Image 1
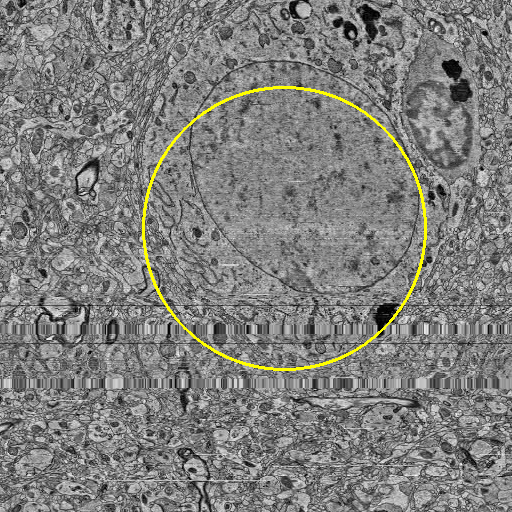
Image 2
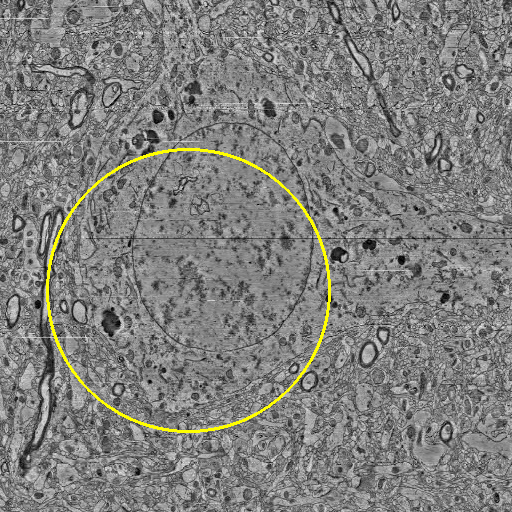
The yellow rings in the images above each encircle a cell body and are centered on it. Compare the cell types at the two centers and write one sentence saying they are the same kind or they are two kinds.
Taken together, the two cells at the ring centers are the same kind.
